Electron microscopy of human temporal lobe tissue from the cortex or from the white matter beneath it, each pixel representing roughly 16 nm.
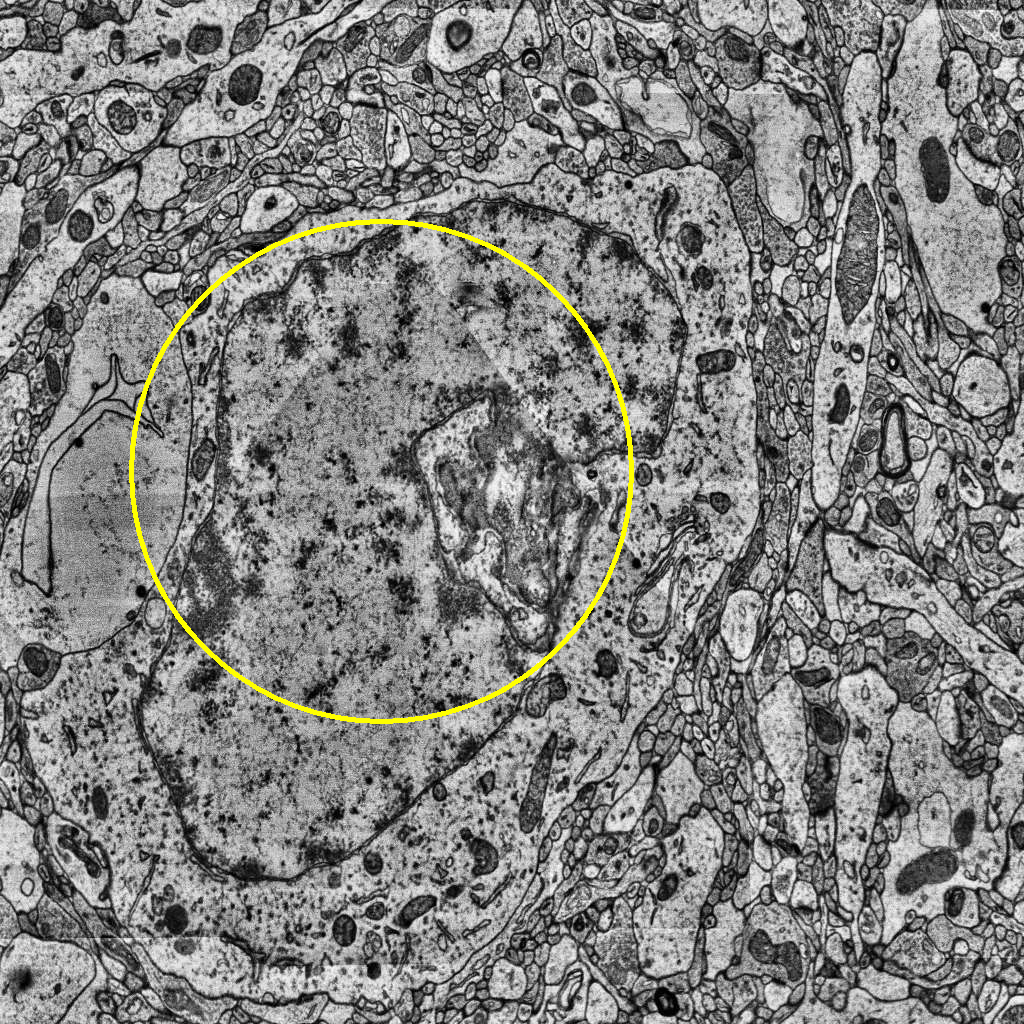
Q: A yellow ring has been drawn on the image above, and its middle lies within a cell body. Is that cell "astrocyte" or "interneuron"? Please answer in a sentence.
The ring's middle lies in the cell body of an interneuron.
